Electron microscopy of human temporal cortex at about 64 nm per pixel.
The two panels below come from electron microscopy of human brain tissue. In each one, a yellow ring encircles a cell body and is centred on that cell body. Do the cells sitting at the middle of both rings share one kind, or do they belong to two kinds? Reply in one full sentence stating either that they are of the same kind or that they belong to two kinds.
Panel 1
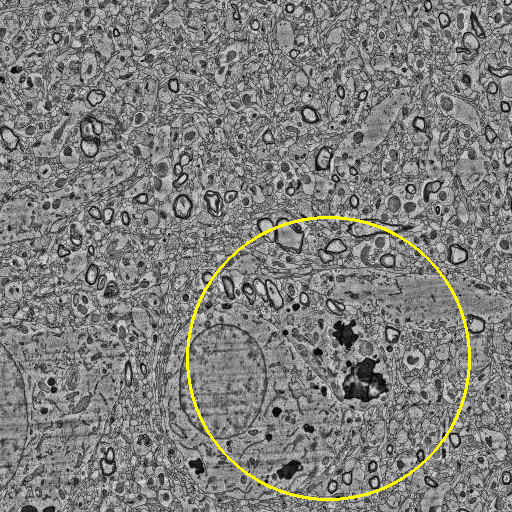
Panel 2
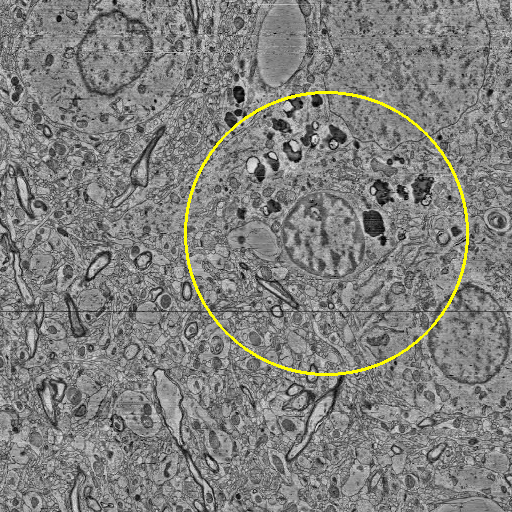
The cells at the centres of the two rings are of the same kind.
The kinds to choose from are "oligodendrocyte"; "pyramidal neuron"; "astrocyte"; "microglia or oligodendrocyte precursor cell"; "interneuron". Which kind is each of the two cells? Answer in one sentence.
In both pictures the ring is centred on an oligodendrocyte.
